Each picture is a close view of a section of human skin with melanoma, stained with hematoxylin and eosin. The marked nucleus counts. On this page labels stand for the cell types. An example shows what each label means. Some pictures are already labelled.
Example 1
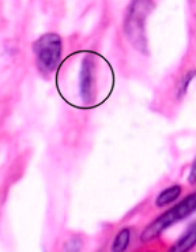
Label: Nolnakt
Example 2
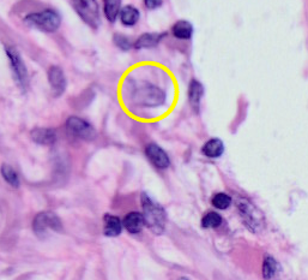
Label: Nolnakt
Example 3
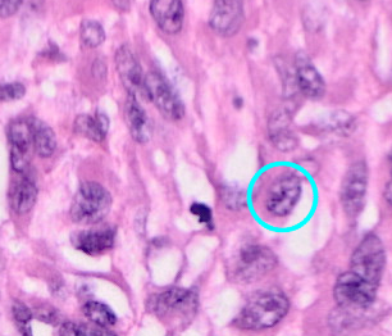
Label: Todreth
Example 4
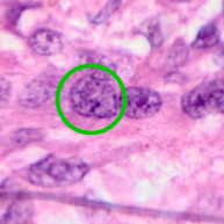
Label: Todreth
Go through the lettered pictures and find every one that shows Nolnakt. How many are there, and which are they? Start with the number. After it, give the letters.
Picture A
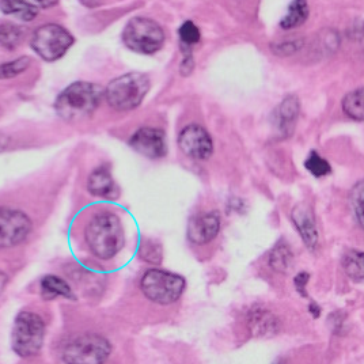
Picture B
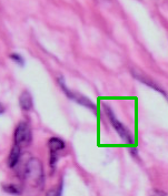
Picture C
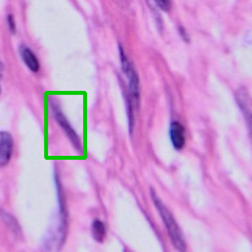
Count: 2 (B, C)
